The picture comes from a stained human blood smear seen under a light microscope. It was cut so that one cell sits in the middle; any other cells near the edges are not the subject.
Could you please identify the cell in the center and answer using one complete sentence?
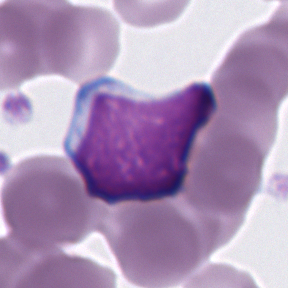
This crop's central cell is a lymphocyte.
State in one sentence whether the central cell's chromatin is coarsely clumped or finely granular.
The chromatin is fine throughout, without coarse clumps.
